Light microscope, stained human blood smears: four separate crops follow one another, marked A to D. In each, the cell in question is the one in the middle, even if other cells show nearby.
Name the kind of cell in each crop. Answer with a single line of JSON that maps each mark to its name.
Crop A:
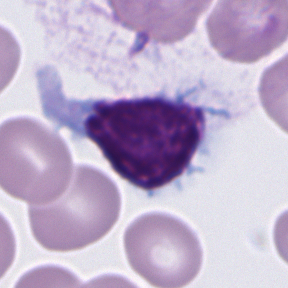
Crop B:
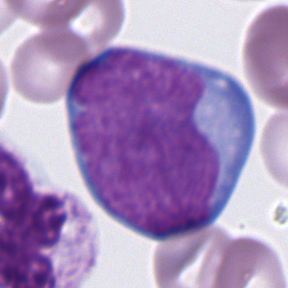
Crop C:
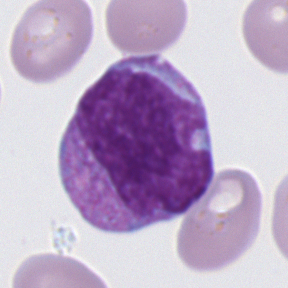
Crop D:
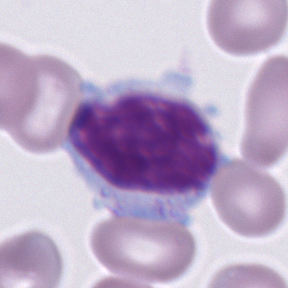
{"A": "typical lymphocyte", "B": "myeloblast", "C": "atypical promyelocyte", "D": "large granular lymphocyte"}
